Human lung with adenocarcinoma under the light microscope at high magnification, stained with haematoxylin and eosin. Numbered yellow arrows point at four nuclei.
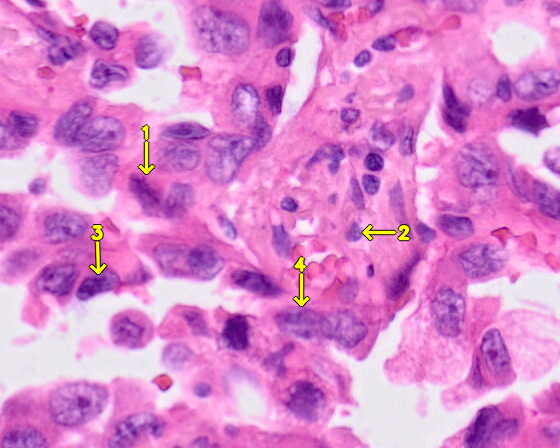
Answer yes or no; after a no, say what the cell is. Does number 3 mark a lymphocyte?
No, it is a carcinoma cell.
